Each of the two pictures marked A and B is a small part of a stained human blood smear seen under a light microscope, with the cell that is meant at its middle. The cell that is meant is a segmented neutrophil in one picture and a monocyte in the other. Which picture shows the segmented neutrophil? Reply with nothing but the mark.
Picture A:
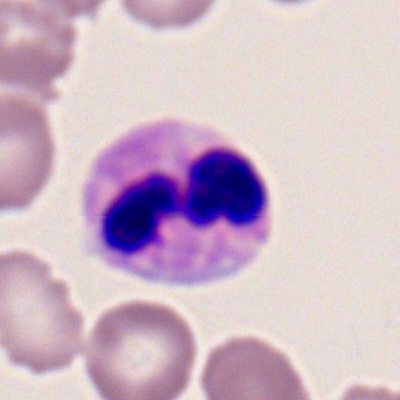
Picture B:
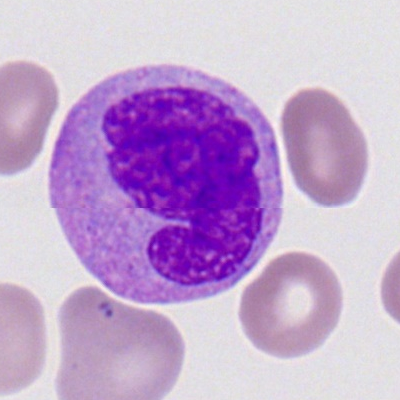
A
